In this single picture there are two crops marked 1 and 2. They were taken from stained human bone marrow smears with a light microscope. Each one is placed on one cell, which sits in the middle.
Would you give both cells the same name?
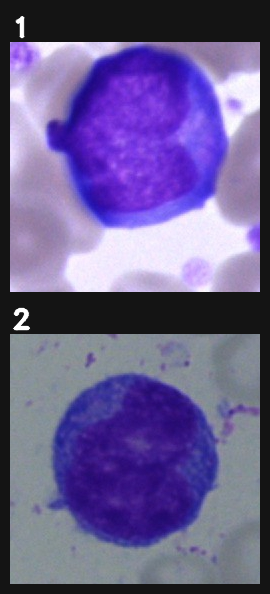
yes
